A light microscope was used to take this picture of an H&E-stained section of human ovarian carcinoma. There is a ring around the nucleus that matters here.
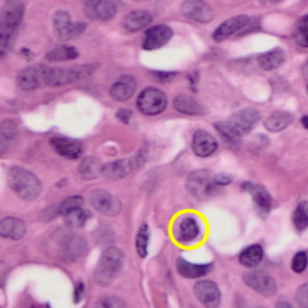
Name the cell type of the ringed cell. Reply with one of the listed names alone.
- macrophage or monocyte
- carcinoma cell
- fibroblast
macrophage or monocyte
